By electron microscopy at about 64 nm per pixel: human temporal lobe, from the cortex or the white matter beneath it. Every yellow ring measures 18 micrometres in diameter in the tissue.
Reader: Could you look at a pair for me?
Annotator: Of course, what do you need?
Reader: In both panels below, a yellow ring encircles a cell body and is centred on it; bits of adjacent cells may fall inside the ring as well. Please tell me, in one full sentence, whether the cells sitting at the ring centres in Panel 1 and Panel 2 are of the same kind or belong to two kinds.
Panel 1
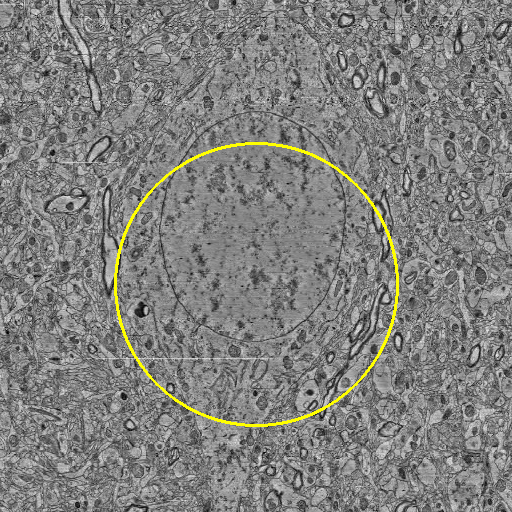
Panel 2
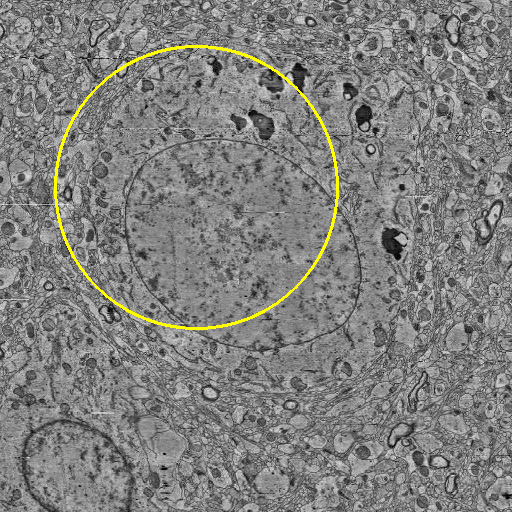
The cell at the ring's centre in Panel 1 and the one in Panel 2 are of the same kind.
